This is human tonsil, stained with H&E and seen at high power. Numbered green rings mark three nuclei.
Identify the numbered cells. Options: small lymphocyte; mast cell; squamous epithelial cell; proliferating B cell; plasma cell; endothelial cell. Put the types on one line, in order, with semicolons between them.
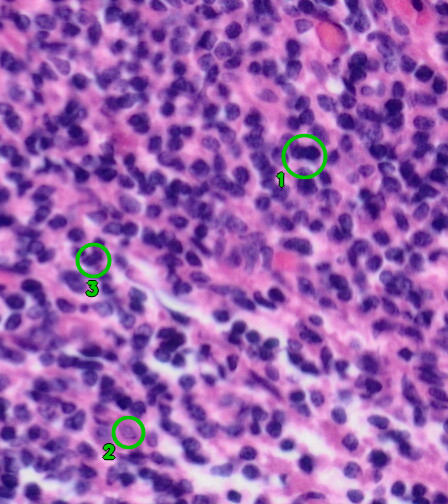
small lymphocyte; endothelial cell; small lymphocyte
